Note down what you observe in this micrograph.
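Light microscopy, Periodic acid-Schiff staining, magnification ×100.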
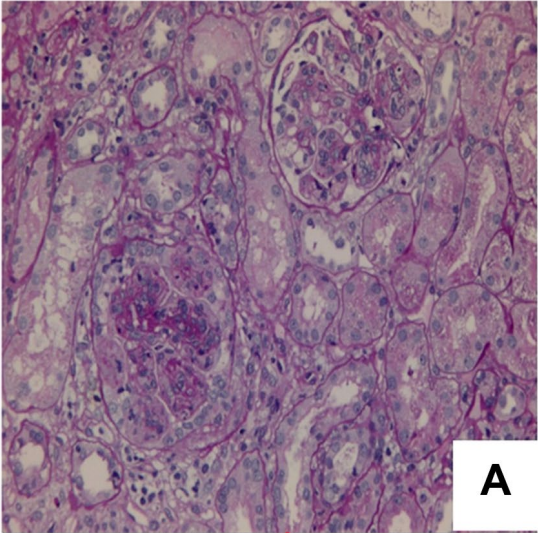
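This is kidney cortex with two glomeruli surrounded by cross-sections of tubules. In parts of the tufts these magenta outlines look thicker and more prominent than elsewhere. The tubules around them are lined by cuboidal epithelial cells with round blue nuclei and pale pink cytoplasm, each tubule framed by a thin magenta basement membrane. Several tubules have pale, somewhat vacuolated cytoplasm, and a little loose interstitium lies between them.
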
